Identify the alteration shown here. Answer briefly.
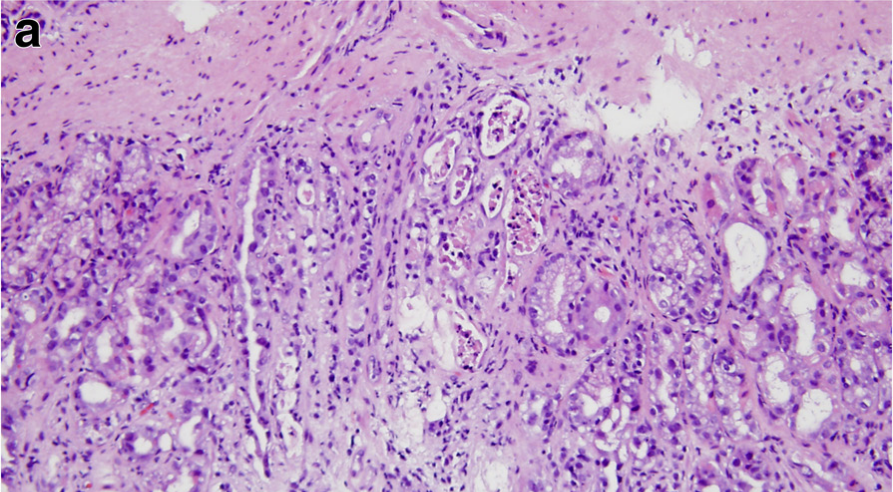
Dilated glands.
